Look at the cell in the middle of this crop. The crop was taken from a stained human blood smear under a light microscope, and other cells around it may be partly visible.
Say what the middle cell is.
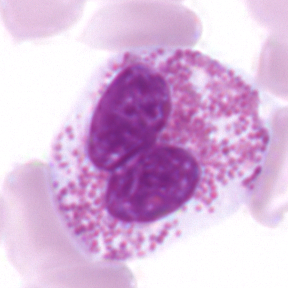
eosinophil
